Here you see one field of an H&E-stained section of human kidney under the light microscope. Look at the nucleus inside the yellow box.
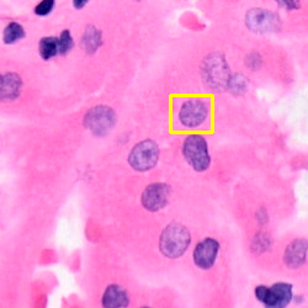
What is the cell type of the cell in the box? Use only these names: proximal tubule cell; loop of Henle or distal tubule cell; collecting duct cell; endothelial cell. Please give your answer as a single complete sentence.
Cytologically, the cell in the box is to be regarded as a proximal tubule cell.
